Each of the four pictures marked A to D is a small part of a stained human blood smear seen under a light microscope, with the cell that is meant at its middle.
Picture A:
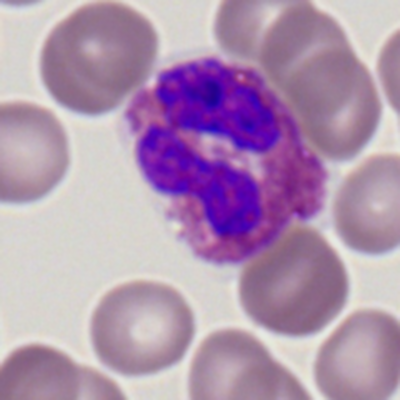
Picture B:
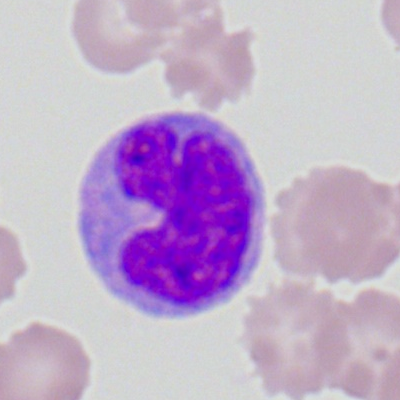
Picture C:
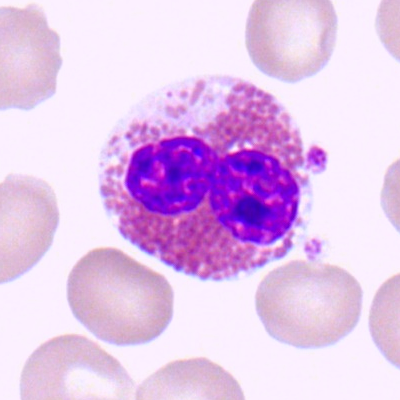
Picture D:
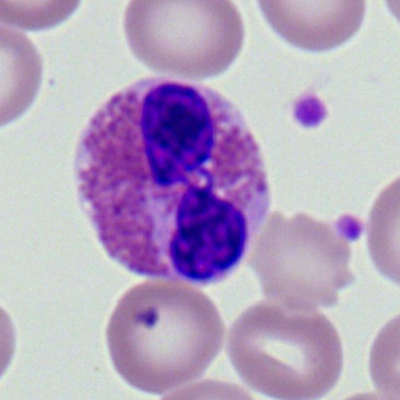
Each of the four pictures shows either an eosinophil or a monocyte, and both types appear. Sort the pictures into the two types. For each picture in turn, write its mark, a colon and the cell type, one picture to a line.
A: eosinophil
B: monocyte
C: eosinophil
D: eosinophil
